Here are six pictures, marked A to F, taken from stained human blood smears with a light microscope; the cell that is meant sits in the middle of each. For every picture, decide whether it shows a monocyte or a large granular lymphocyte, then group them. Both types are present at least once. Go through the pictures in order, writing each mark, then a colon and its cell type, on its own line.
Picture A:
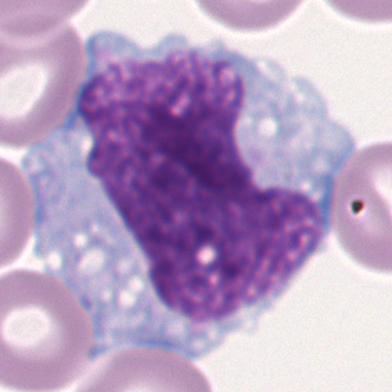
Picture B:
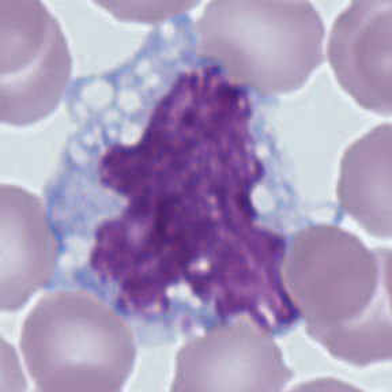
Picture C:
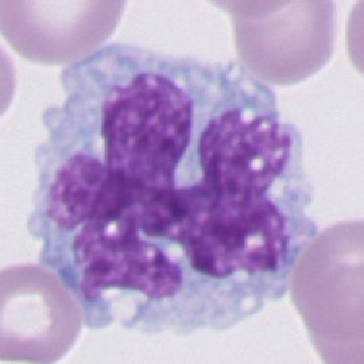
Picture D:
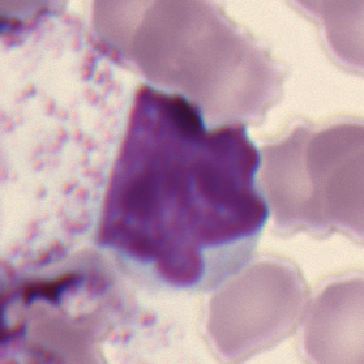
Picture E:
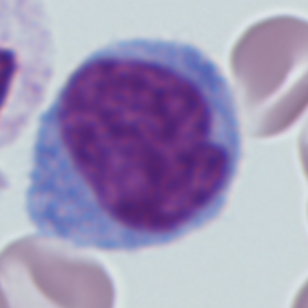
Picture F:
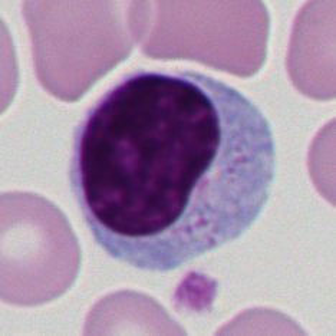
A: monocyte
B: monocyte
C: monocyte
D: large granular lymphocyte
E: monocyte
F: large granular lymphocyte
